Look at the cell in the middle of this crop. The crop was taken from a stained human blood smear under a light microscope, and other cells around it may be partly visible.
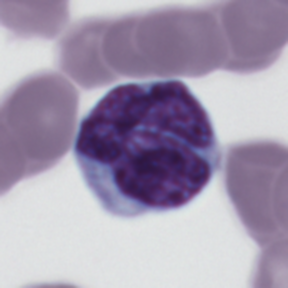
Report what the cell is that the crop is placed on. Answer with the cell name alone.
monocyte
